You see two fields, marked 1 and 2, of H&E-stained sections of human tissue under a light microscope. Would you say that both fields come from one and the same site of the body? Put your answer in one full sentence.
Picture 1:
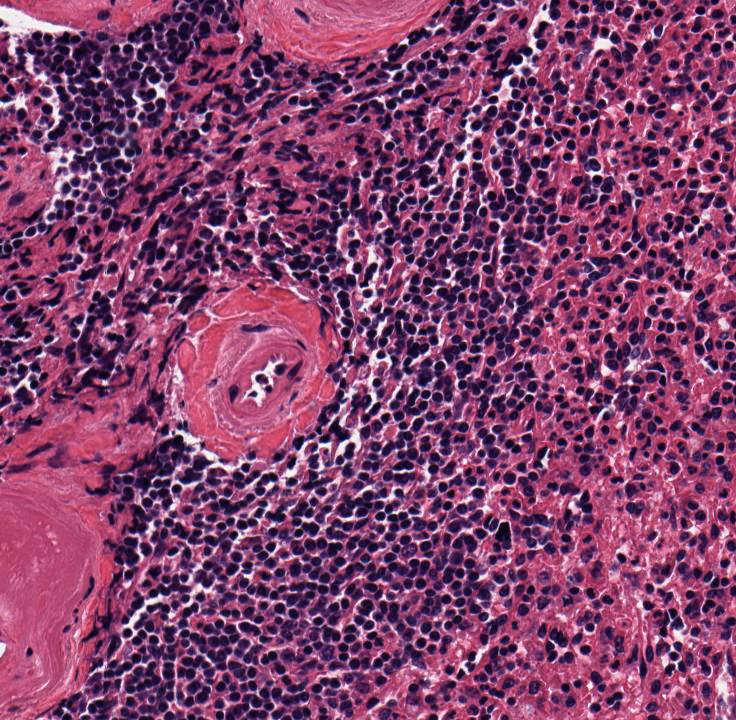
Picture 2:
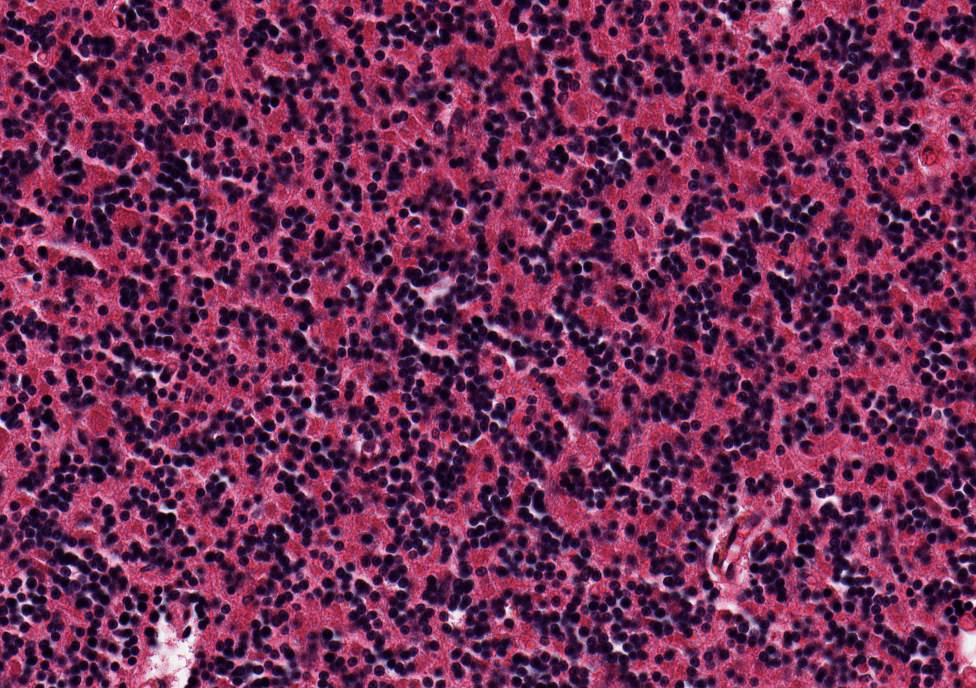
No. Picture 1 comes from the spleen, whereas picture 2 comes from the cerebellum.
